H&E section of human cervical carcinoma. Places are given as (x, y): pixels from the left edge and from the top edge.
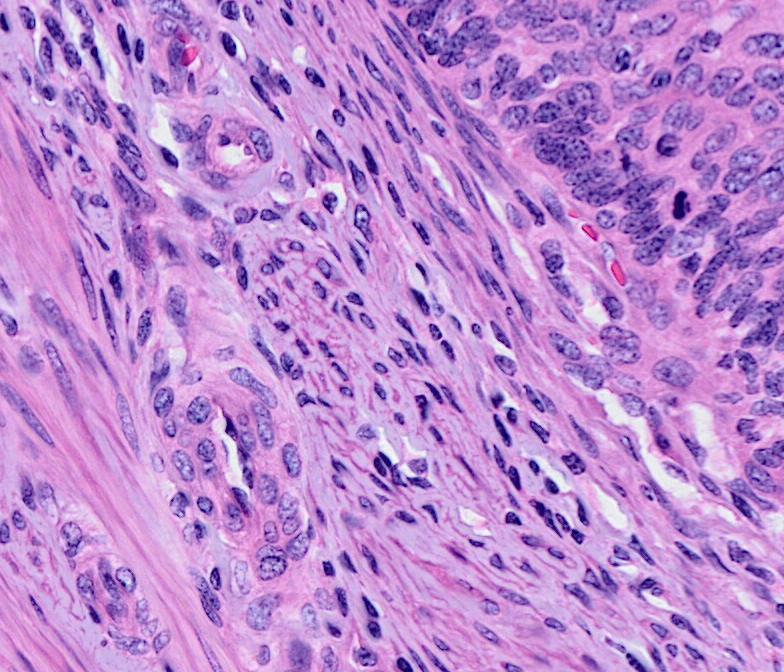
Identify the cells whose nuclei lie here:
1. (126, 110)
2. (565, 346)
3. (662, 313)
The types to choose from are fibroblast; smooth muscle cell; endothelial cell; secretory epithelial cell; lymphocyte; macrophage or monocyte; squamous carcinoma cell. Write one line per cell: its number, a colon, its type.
1: lymphocyte
2: endothelial cell
3: endothelial cell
